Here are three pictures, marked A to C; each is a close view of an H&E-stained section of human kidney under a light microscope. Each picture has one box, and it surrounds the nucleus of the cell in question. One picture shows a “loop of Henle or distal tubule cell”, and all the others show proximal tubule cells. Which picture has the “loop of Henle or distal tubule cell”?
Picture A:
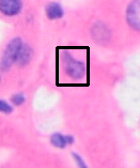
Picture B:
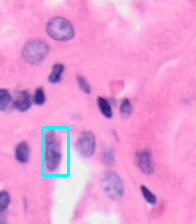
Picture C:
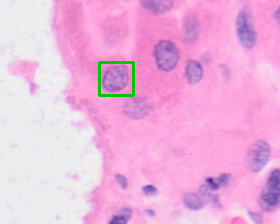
B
